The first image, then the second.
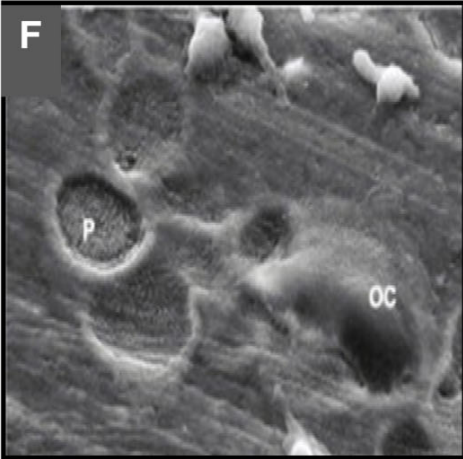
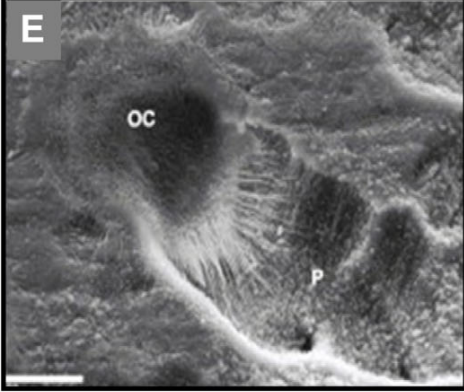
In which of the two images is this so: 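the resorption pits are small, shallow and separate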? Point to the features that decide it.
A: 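The first image. First image: several small rounded shallow depressions scattered on the surface. Second image: a large dark deep depression next to the cell.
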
